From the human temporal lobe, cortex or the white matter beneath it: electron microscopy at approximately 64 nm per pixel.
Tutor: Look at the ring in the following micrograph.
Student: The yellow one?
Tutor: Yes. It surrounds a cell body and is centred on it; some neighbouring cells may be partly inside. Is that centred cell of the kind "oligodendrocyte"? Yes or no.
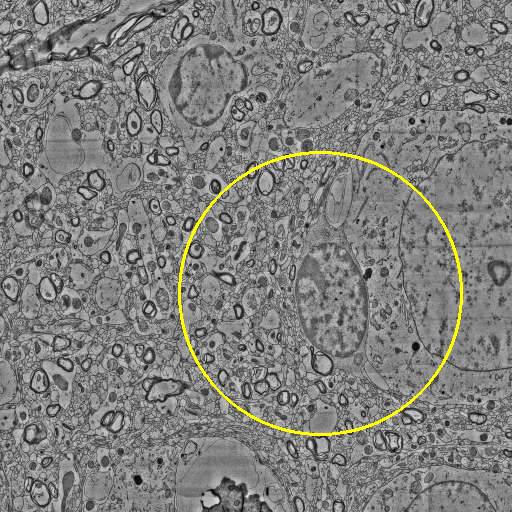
yes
